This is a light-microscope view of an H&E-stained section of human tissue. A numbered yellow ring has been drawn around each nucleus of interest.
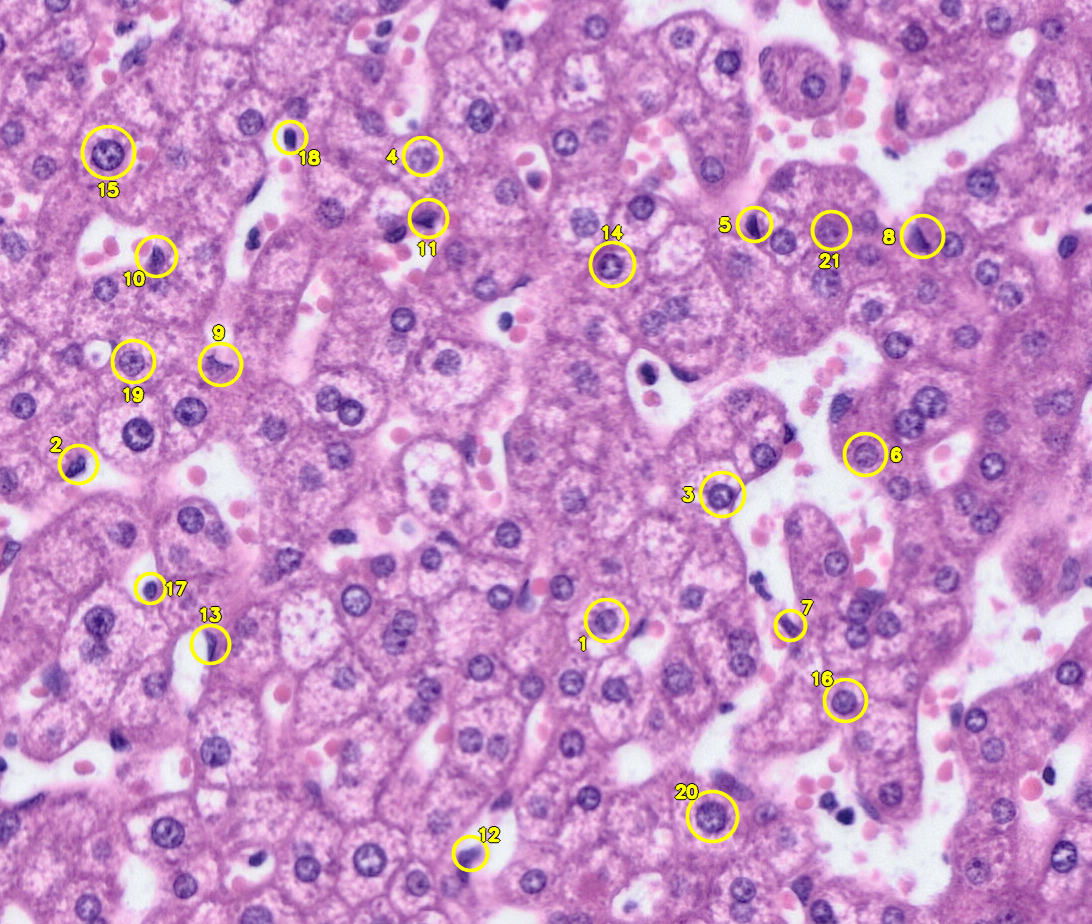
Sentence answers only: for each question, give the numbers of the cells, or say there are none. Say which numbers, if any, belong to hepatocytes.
The cells to which the numbers 1, 3, 4, 6, 14, 15, 16, 19, 20 and 21 refer are hepatocytes.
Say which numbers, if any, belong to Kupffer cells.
On this slide, the cells numbered 7 and 12 are Kupffer cells.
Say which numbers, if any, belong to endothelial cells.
The cells that the numbers 2, 9, 10, 11 and 13 belong to are endothelial cells.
